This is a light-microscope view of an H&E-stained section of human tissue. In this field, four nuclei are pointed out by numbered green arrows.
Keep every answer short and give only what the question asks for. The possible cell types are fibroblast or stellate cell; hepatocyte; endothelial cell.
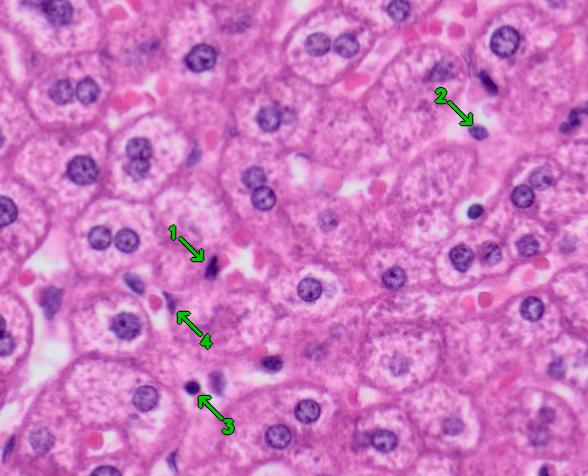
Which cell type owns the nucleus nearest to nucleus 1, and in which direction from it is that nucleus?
an endothelial cell, below and to the left of nucleus 1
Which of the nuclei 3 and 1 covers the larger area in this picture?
1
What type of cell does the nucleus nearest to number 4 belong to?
endothelial cell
